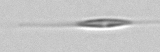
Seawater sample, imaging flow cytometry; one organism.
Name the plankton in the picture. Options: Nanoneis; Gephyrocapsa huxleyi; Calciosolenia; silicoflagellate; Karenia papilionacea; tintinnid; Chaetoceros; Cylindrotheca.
Cylindrotheca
